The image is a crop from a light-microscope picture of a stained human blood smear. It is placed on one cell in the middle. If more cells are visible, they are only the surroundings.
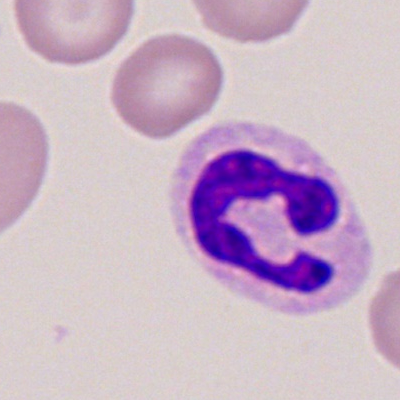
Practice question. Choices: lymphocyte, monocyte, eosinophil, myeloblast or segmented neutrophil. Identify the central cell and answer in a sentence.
This crop's central cell is a segmented neutrophil.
